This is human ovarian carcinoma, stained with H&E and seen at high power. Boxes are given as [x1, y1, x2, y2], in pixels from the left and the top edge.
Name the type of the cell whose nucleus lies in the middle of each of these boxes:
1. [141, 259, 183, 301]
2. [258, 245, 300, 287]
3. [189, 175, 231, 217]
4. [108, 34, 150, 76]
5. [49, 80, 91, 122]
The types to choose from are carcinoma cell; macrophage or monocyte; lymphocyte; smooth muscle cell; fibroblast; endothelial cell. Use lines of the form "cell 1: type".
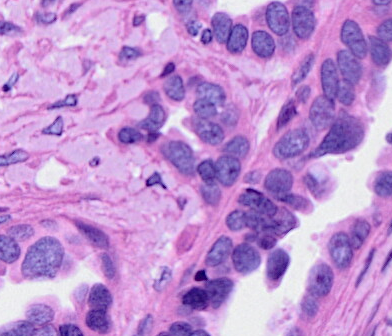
cell 1: fibroblast
cell 2: carcinoma cell
cell 3: carcinoma cell
cell 4: fibroblast
cell 5: fibroblast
